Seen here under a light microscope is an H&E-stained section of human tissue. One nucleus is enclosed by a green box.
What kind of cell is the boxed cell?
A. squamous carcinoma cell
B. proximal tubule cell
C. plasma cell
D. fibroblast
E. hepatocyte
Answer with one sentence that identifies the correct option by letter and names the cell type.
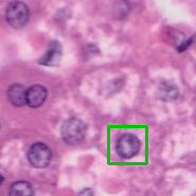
Among the choices, option E is correct, the boxed cell being a hepatocyte.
